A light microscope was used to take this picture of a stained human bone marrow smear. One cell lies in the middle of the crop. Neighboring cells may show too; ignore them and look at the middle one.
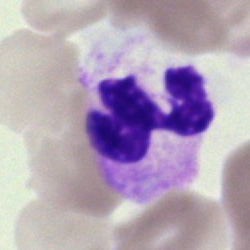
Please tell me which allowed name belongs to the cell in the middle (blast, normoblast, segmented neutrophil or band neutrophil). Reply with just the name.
segmented neutrophil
